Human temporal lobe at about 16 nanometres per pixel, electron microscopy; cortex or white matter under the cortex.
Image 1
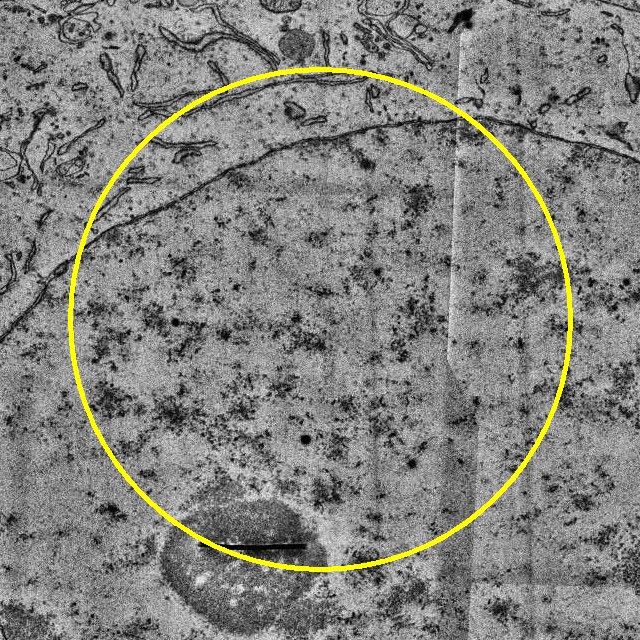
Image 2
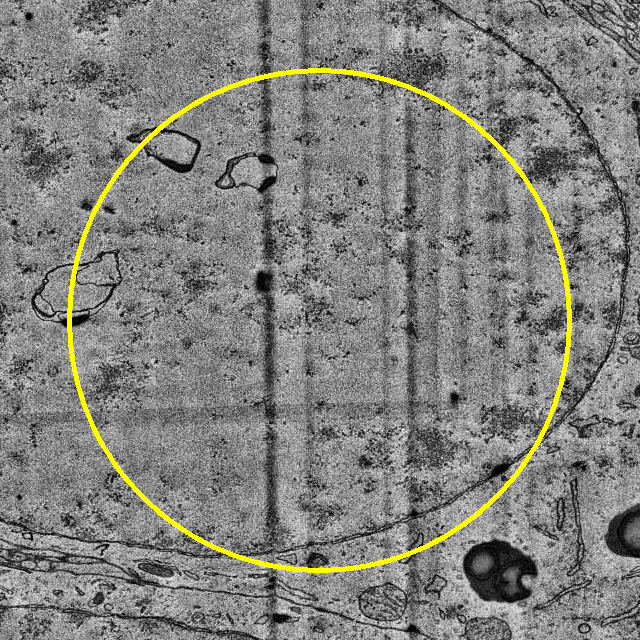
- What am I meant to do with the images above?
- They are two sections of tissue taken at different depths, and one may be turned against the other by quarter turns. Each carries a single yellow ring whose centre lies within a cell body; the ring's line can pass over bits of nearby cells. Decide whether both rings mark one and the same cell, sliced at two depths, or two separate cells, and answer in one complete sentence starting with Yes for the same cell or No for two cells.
No, the two yellow rings surround two different cells.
